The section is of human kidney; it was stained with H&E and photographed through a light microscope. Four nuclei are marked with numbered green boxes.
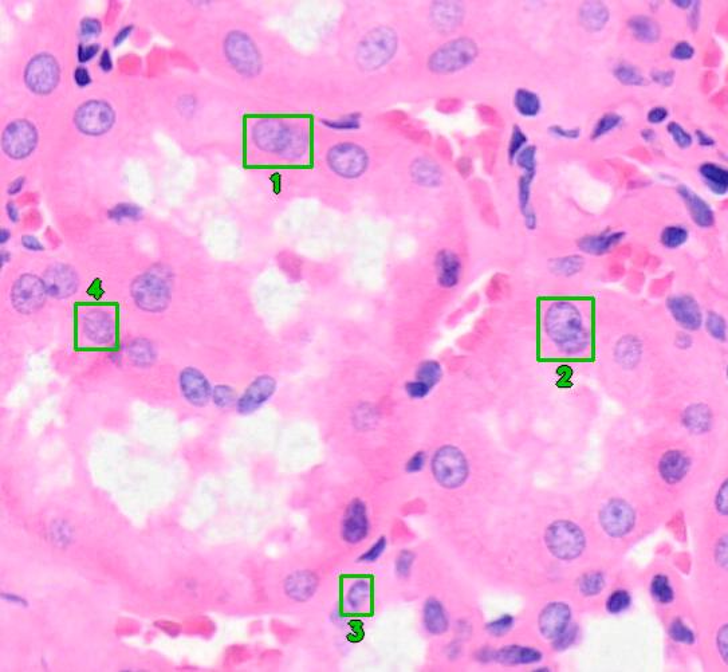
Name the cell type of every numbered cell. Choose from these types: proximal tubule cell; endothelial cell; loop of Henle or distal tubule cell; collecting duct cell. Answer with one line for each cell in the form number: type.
1: proximal tubule cell
2: proximal tubule cell
3: collecting duct cell
4: proximal tubule cell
